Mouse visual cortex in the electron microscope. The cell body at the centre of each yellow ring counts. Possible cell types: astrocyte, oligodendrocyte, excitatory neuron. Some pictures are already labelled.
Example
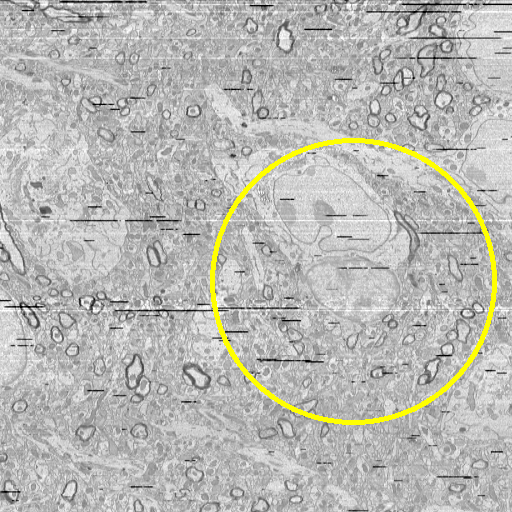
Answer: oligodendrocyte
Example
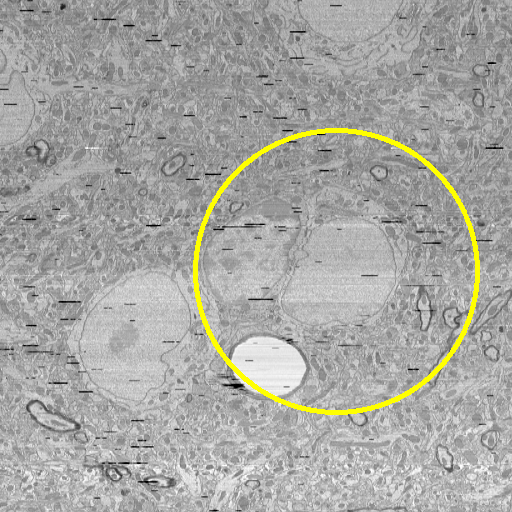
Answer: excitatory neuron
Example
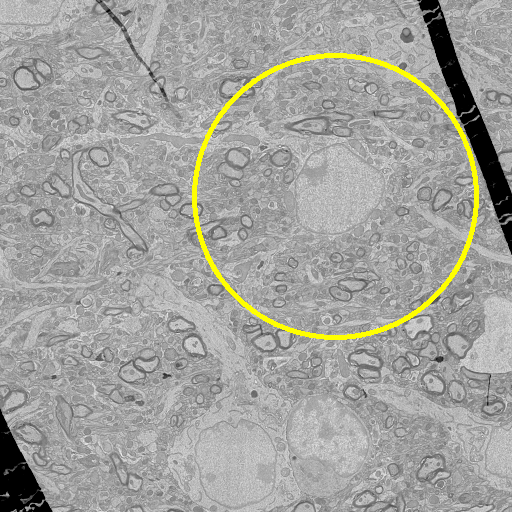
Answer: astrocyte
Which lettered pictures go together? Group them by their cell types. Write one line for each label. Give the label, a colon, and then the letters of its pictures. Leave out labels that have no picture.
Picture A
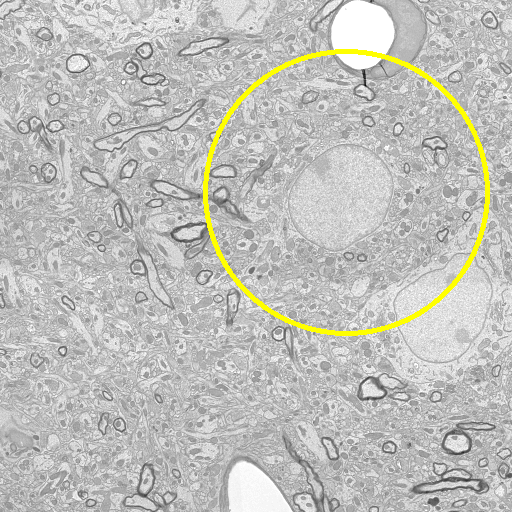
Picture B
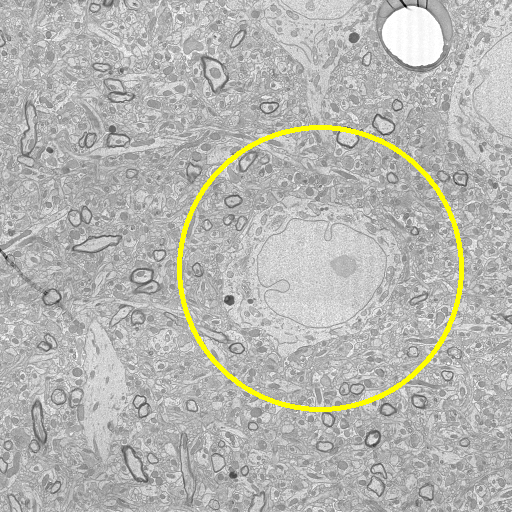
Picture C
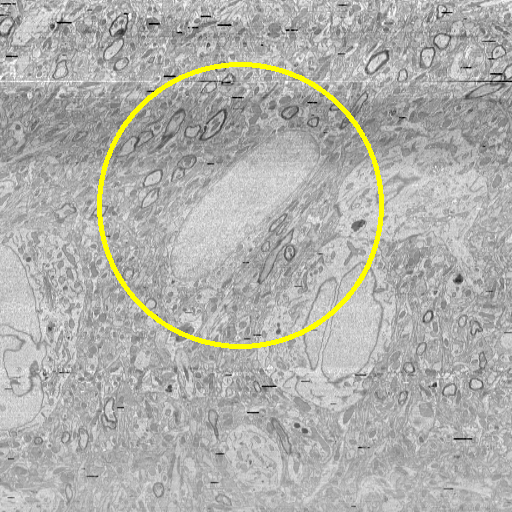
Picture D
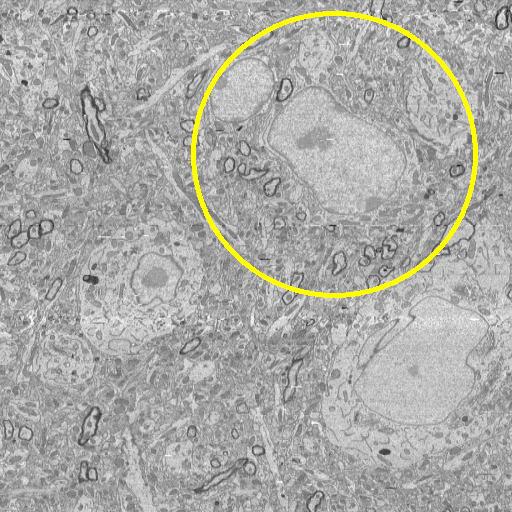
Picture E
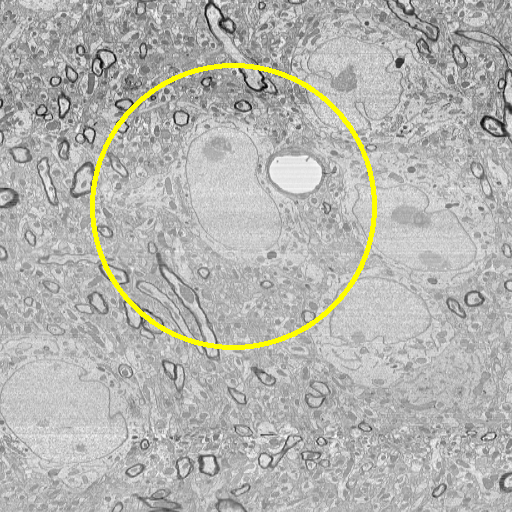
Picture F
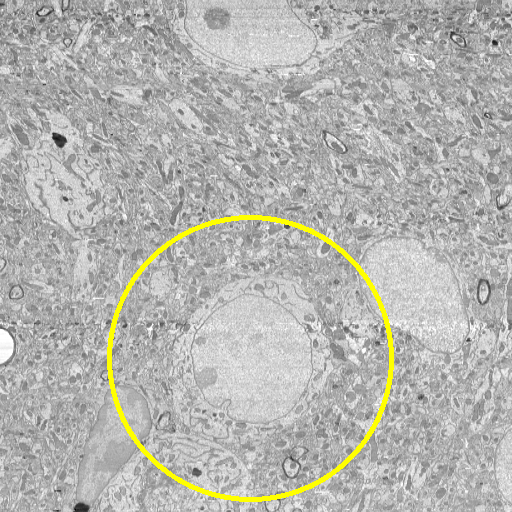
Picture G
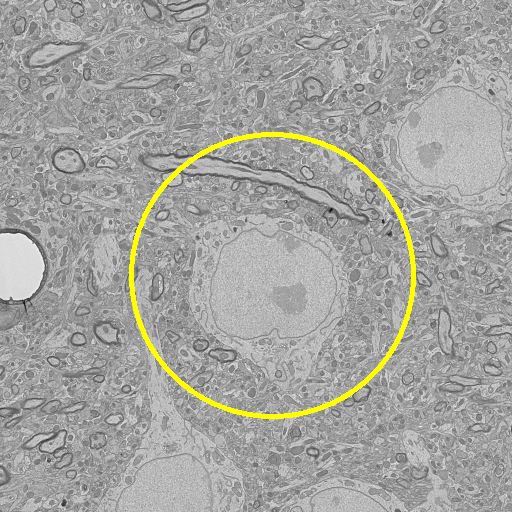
astrocyte: A, C, D
excitatory neuron: B, E, F, G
